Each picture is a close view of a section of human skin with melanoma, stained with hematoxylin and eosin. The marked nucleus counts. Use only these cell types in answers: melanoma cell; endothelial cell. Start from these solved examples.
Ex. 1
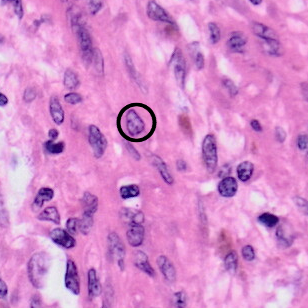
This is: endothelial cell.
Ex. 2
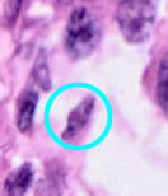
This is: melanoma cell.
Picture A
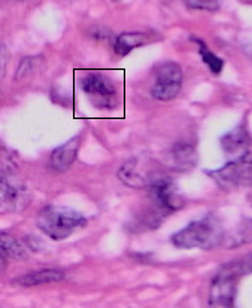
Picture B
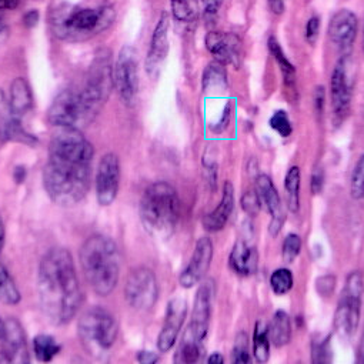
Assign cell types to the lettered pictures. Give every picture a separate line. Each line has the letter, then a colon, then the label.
A: melanoma cell.
B: endothelial cell.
